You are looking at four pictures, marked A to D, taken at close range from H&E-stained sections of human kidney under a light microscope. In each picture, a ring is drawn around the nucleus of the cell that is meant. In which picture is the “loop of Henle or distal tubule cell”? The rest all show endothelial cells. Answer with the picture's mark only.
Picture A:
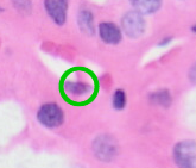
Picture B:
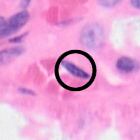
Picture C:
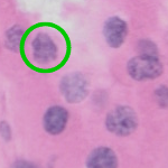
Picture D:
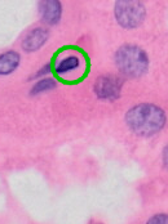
C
